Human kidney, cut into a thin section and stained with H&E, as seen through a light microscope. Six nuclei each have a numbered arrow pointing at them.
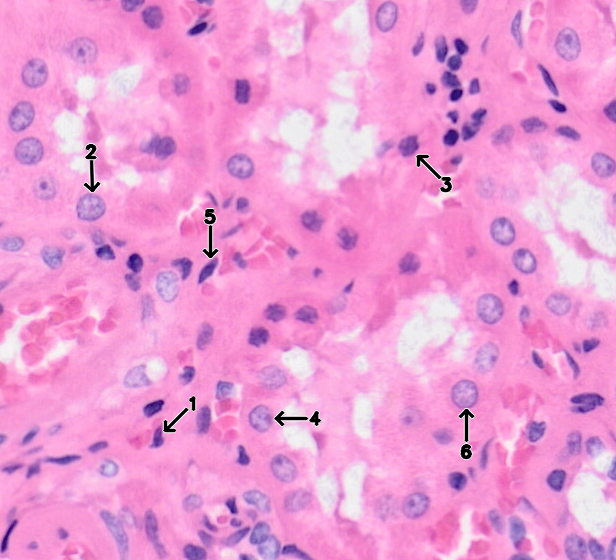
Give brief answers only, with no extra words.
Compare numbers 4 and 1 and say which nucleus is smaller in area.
1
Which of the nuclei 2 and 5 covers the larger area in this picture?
2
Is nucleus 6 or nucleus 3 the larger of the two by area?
6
